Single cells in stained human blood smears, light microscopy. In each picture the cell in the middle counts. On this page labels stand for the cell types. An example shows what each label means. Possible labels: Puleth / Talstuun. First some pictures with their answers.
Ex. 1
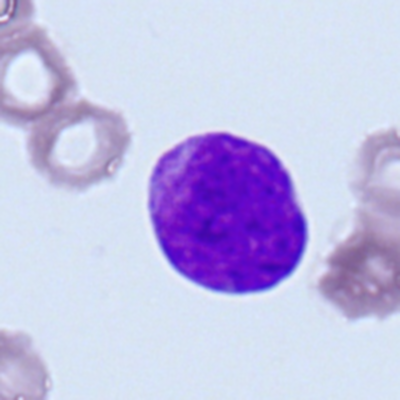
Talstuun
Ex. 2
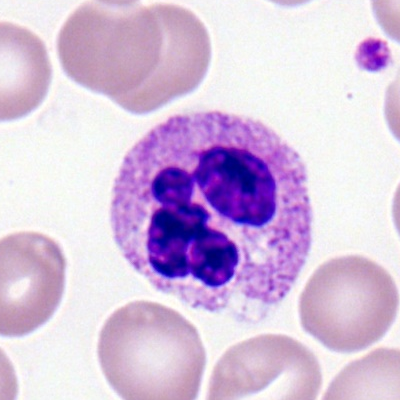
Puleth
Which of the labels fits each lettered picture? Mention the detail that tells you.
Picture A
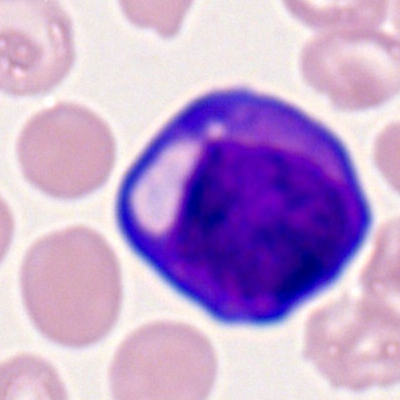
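Talstuun. Evidence: The nucleus is a single unlobed mass that fills most of the cell.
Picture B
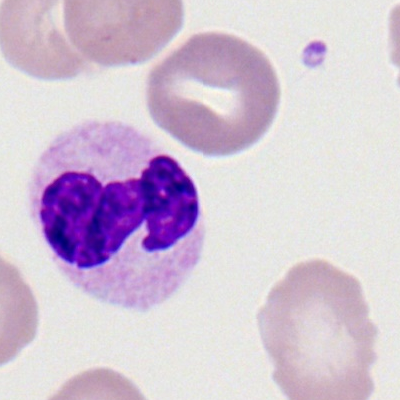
Puleth. Evidence: The cytoplasm is pale pink.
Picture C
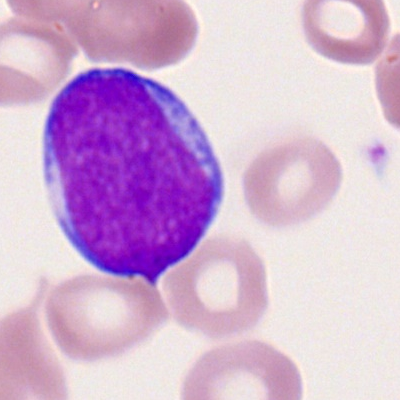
Talstuun. Evidence: The cytoplasm is blue.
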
